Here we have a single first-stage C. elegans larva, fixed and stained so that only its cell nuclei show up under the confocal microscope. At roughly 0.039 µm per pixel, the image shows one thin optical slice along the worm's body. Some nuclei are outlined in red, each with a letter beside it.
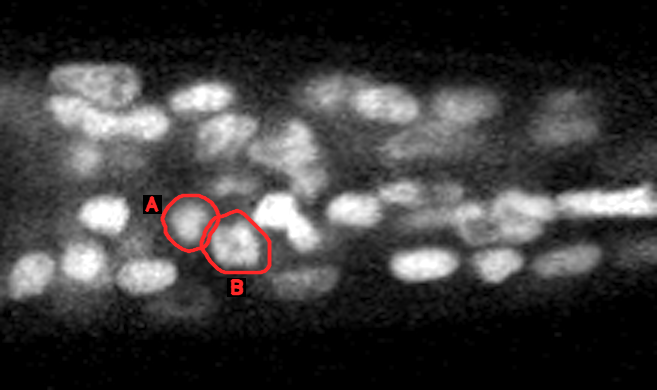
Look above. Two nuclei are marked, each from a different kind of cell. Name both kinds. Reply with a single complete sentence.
A is the nucleus of a neuron; B is the nucleus of a pharyngeal muscle cell.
